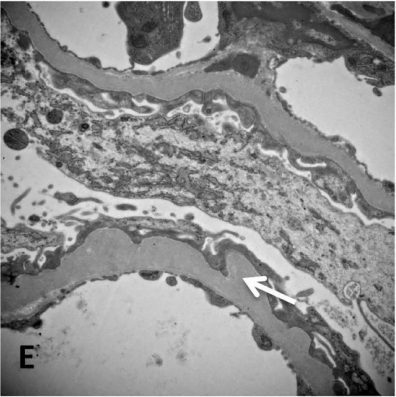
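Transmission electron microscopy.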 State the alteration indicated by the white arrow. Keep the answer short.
expanded glomerular basement membrane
